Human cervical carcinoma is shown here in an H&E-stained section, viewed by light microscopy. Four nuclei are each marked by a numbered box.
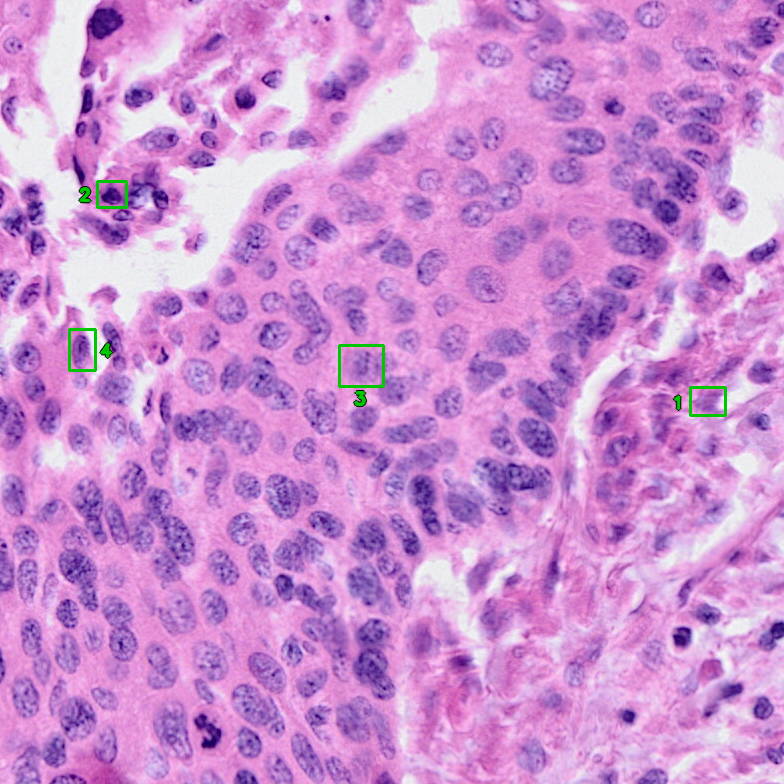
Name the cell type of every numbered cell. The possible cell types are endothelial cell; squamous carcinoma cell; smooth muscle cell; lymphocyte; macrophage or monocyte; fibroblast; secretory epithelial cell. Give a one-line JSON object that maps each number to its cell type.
{"1": "fibroblast", "2": "squamous carcinoma cell", "3": "squamous carcinoma cell", "4": "squamous carcinoma cell"}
